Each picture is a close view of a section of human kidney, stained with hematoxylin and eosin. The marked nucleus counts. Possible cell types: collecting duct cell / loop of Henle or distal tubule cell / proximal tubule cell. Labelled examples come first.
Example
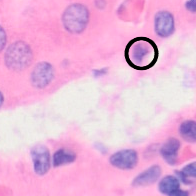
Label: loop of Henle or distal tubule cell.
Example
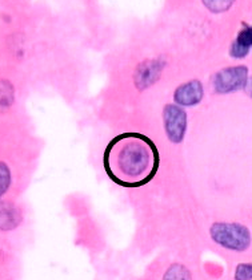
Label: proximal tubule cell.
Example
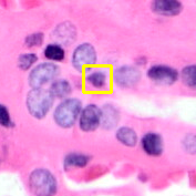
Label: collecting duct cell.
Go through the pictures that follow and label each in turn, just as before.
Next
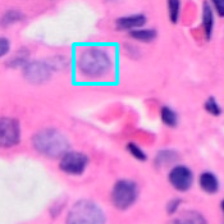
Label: collecting duct cell.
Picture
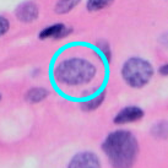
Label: collecting duct cell.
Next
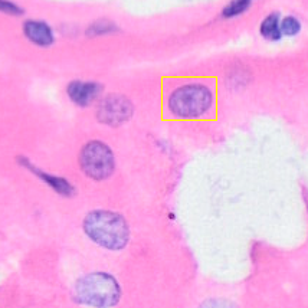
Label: proximal tubule cell.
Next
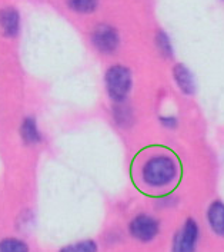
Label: collecting duct cell.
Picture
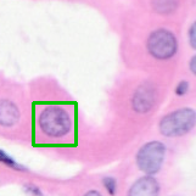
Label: proximal tubule cell.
